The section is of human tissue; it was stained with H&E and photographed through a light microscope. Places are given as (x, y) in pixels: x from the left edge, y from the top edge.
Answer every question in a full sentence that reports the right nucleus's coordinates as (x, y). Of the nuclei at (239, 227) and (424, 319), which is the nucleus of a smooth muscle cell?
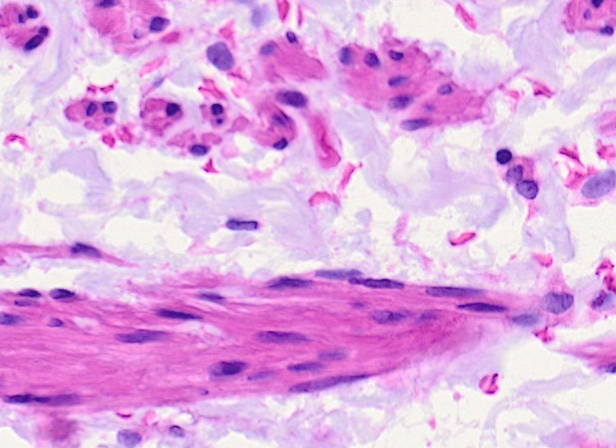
Of these two nuclei, only the one at (424, 319) belongs to a smooth muscle cell.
